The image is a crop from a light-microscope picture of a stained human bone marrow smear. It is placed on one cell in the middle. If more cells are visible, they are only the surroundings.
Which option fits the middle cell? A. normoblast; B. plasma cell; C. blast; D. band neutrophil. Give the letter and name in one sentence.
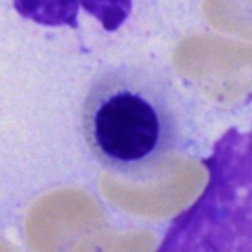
The middle cell of the crop is a normoblast; accordingly, option A is correct.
